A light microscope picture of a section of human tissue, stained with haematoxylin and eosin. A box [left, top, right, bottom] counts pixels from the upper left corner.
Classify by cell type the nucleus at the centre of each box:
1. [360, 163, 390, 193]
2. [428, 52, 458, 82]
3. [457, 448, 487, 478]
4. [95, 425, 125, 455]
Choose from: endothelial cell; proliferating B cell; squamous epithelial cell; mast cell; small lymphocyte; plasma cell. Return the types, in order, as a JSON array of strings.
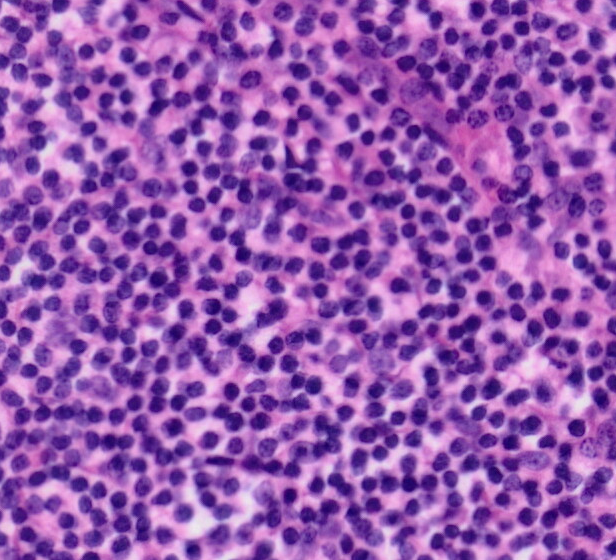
["plasma cell", "small lymphocyte", "small lymphocyte", "small lymphocyte"]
